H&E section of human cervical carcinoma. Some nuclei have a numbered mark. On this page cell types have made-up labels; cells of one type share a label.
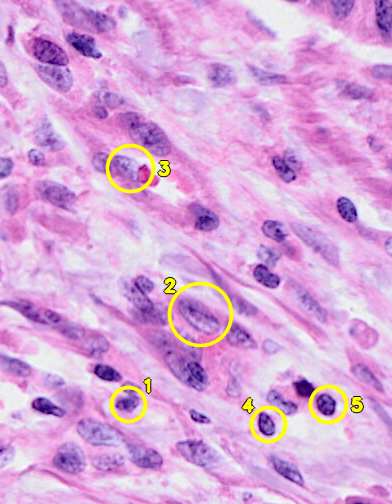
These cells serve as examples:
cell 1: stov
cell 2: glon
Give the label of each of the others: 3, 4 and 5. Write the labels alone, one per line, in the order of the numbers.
glon
stov
stov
